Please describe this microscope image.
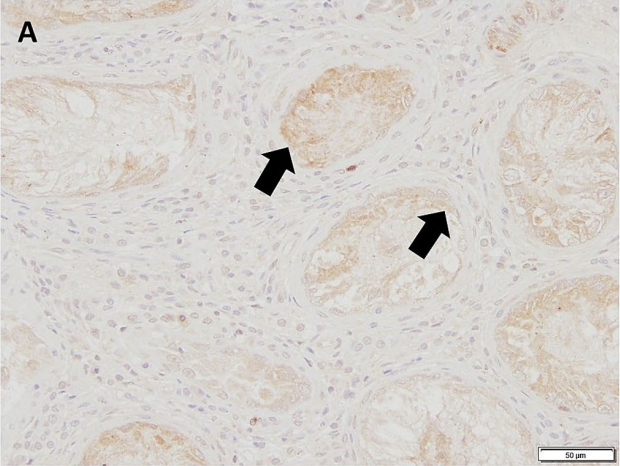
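This shows seminiferous tubules whose Sertoli cell cytoplasm carries a weak to moderate brown stain. The tubules are small, contain few germ cells and are filled with a vacuolated, foamy-looking cytoplasm rather than layered germinal epithelium. The interstitium between the tubules is wide and densely populated with cells bearing blue nuclei, which remain unstained.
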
